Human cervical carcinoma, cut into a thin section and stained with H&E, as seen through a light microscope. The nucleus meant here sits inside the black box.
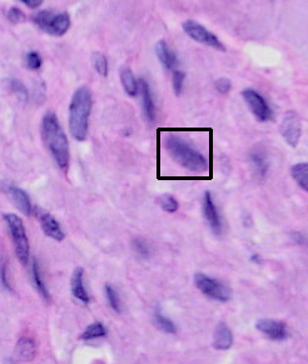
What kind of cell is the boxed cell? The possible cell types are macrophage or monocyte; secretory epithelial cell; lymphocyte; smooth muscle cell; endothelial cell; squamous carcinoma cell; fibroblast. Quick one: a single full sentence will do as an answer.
In the tissue at hand, the boxed cell is a fibroblast.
